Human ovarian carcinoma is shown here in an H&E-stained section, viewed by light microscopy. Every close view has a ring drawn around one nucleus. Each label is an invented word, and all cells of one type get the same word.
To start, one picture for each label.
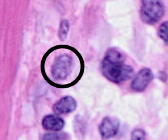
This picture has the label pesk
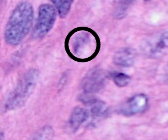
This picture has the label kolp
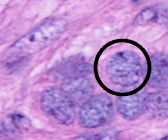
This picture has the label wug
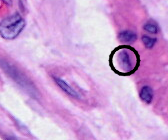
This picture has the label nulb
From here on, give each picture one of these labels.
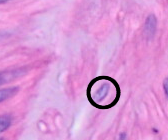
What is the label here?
nulb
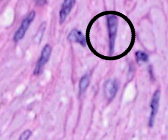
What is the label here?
kolp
